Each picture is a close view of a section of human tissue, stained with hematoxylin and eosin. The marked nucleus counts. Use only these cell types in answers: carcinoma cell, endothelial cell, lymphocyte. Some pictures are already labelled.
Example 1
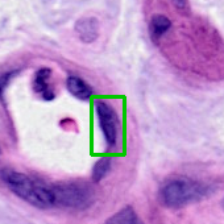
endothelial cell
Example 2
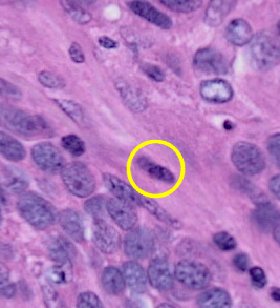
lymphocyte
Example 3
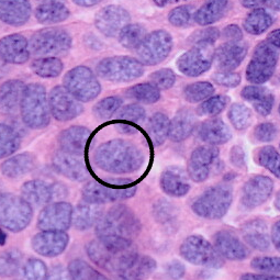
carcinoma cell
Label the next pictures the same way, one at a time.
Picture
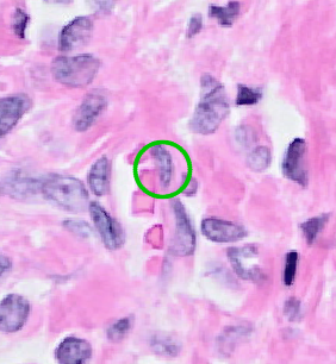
endothelial cell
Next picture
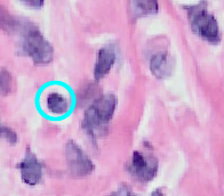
lymphocyte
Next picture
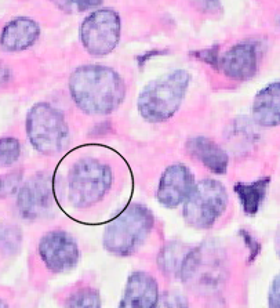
carcinoma cell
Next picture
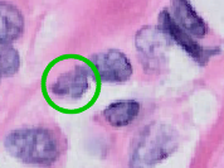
carcinoma cell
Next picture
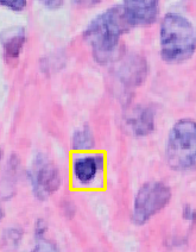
lymphocyte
